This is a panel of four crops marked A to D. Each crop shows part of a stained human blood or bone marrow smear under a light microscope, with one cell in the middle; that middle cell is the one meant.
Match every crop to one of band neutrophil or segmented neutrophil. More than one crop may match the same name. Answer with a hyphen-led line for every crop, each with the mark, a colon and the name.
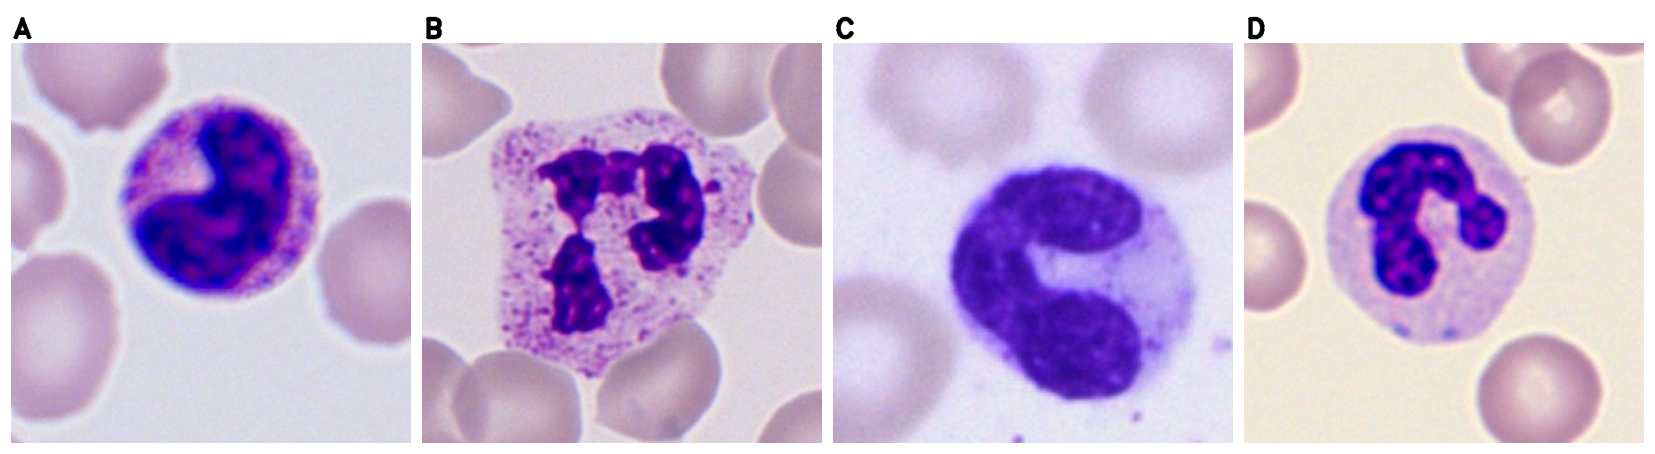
- A: band neutrophil
- B: segmented neutrophil
- C: band neutrophil
- D: segmented neutrophil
